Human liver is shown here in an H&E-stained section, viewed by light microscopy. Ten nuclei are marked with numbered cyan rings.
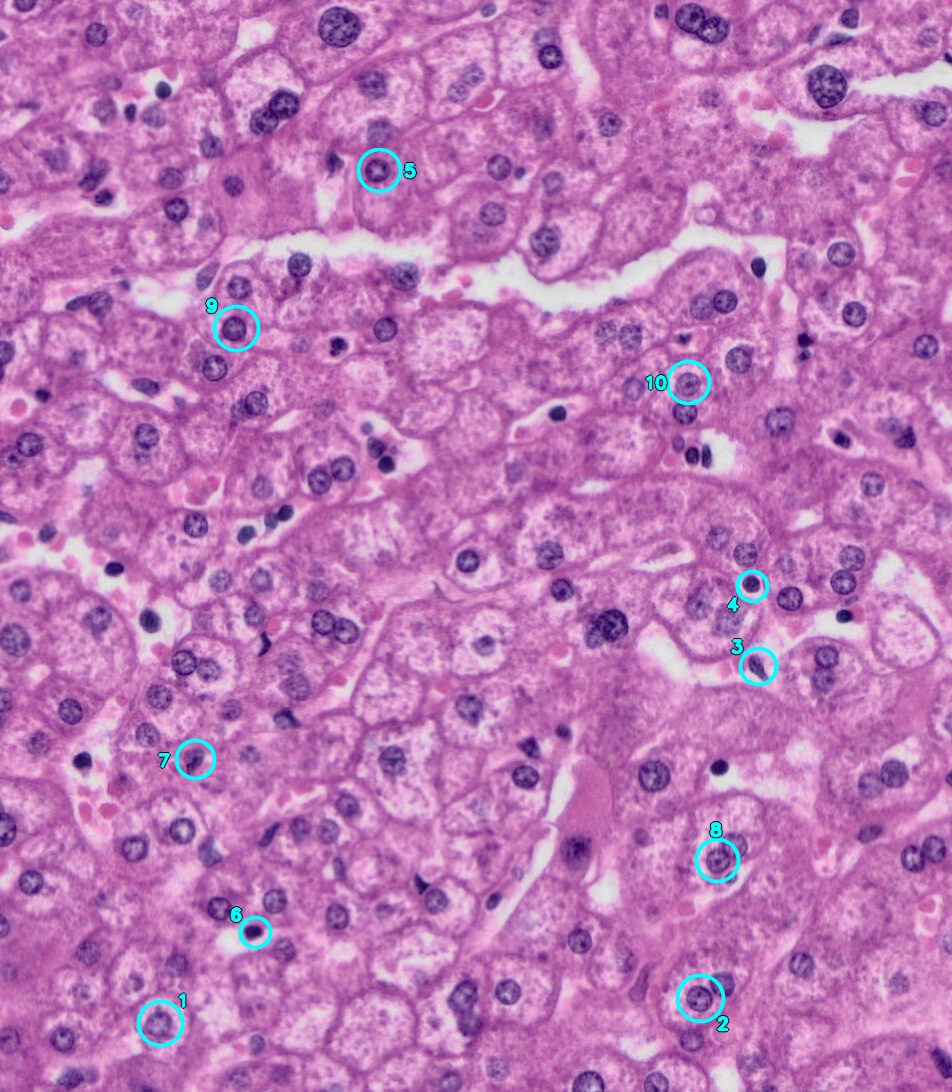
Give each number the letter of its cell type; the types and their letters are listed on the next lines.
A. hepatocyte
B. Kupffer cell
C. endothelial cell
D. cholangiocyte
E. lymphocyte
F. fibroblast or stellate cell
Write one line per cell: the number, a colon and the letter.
1: A
2: A
3: E
4: E
5: A
6: E
7: C
8: A
9: A
10: A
